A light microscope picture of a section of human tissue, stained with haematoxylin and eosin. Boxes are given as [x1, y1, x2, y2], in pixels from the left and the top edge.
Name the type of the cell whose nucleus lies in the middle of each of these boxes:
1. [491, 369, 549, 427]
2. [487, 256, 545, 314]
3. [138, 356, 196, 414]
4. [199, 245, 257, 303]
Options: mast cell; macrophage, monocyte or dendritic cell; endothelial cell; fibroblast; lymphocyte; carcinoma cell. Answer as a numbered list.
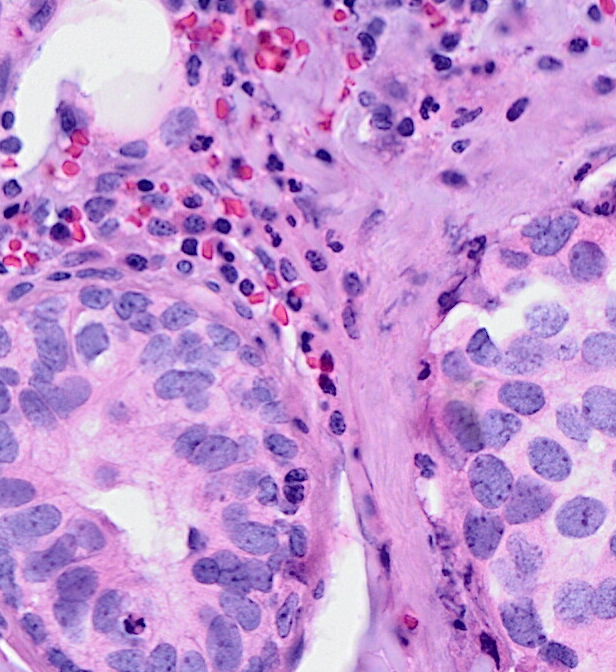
1. carcinoma cell
2. carcinoma cell
3. carcinoma cell
4. lymphocyte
